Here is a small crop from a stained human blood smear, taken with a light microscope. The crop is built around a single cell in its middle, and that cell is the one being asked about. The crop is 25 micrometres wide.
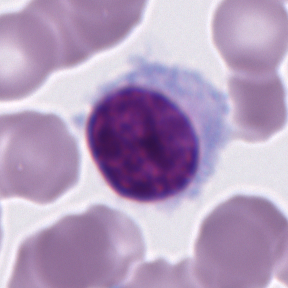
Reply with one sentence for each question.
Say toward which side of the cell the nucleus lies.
Seen from the middle of the cell, the nucleus lies toward the lower left.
